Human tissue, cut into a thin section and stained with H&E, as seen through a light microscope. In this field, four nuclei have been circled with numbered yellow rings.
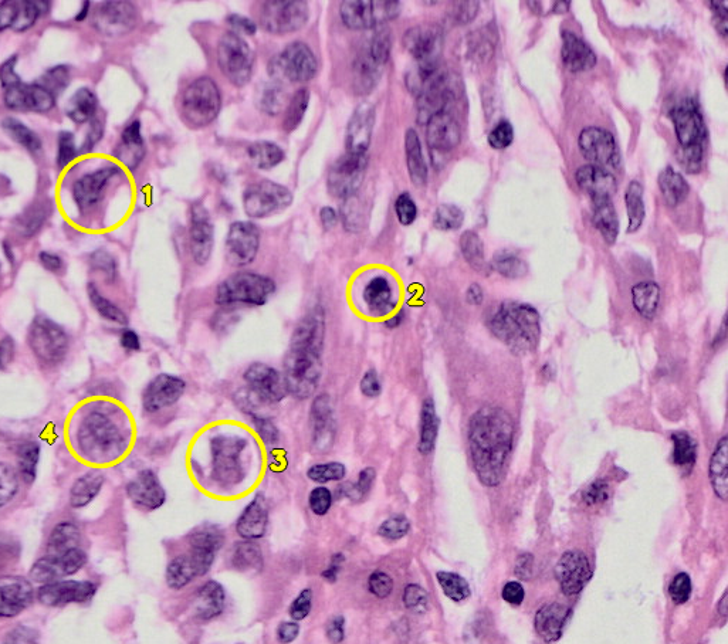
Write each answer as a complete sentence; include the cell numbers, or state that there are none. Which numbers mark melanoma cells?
The cells marked 1, 3 and 4 in the section are melanoma cells.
